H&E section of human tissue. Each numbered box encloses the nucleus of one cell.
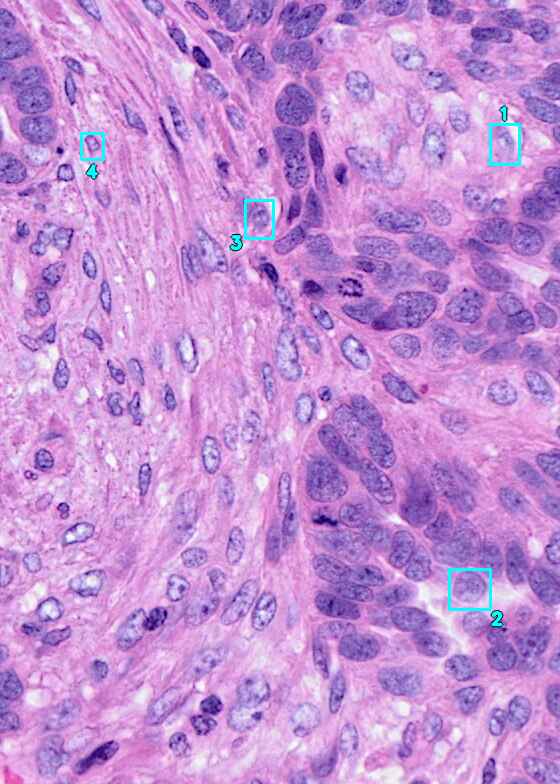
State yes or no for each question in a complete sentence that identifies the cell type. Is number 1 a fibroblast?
Yes, the cell corresponding to number 1 is a fibroblast.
